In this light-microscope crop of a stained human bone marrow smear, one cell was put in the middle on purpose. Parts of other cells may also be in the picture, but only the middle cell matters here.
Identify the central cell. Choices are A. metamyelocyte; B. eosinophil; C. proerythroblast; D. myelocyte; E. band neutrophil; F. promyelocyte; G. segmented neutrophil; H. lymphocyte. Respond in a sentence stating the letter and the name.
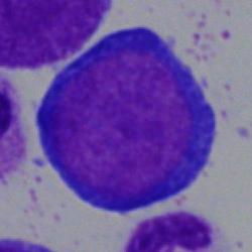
The correct option is C, as the central cell is a proerythroblast.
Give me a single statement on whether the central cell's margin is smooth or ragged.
From every side, the cell boundary is smooth and free of projections.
